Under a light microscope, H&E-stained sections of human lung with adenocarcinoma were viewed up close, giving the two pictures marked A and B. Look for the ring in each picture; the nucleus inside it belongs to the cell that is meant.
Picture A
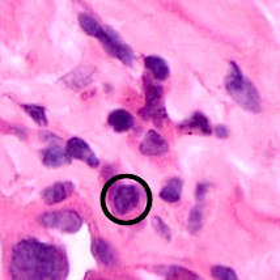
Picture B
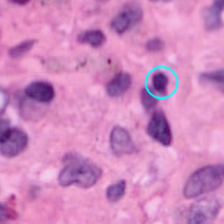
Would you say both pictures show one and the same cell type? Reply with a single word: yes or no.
no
